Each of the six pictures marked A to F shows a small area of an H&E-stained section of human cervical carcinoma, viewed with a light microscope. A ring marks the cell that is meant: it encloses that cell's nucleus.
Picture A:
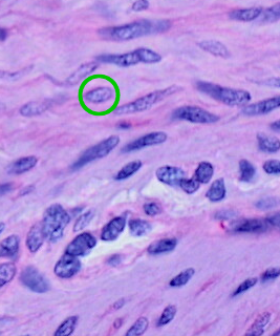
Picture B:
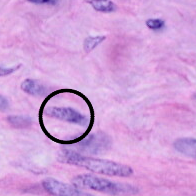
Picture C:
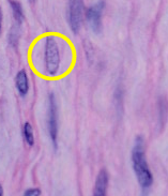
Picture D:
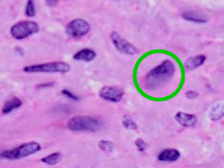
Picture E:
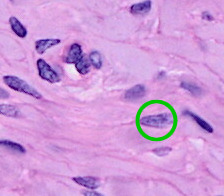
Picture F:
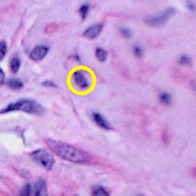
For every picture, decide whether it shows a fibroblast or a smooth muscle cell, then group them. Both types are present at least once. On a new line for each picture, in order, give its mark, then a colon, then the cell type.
A: smooth muscle cell
B: smooth muscle cell
C: smooth muscle cell
D: fibroblast
E: fibroblast
F: smooth muscle cell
